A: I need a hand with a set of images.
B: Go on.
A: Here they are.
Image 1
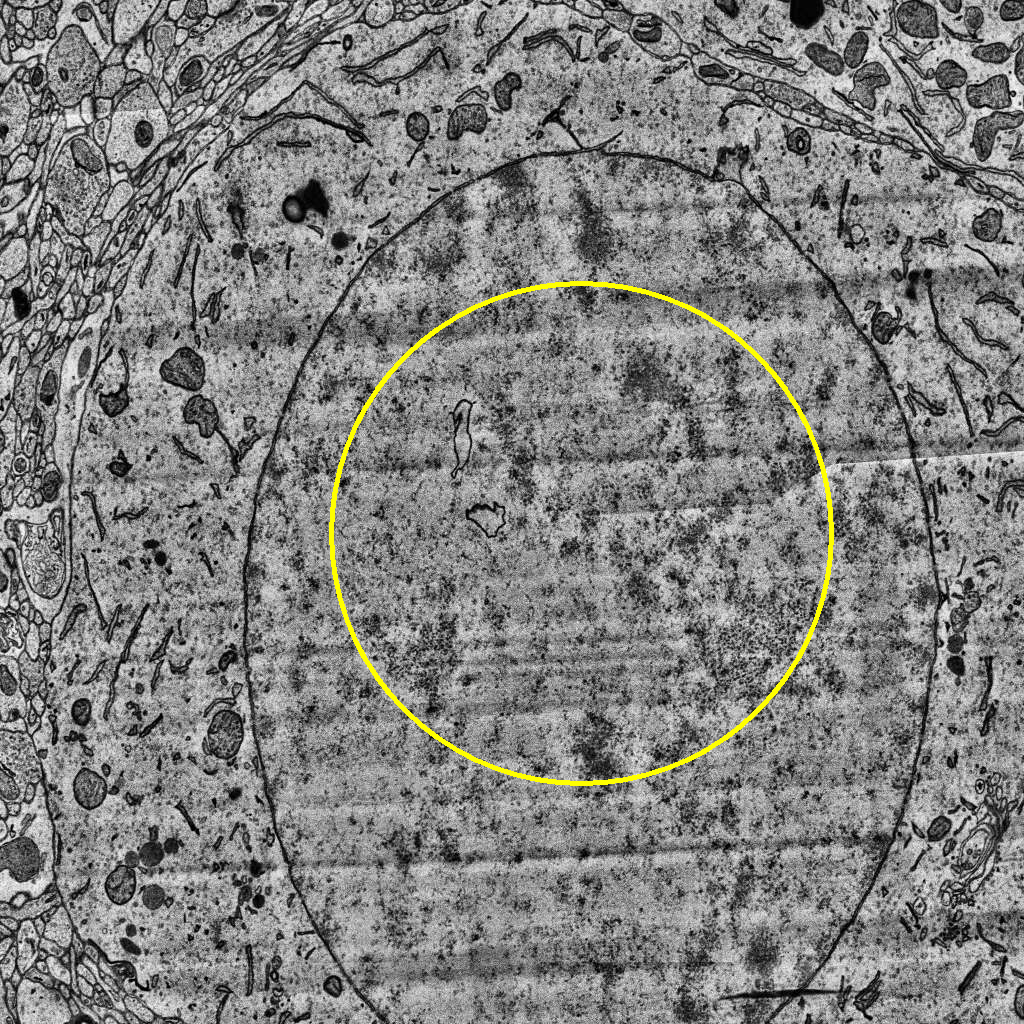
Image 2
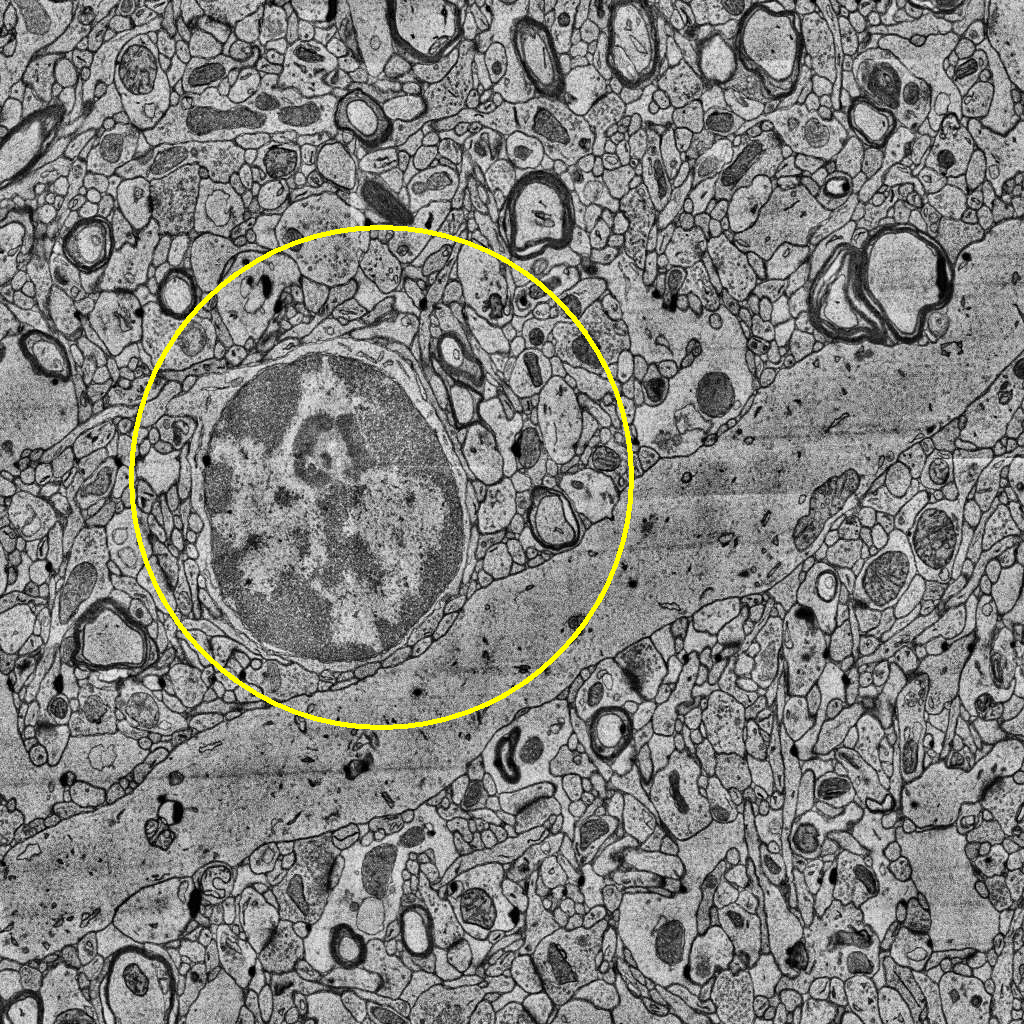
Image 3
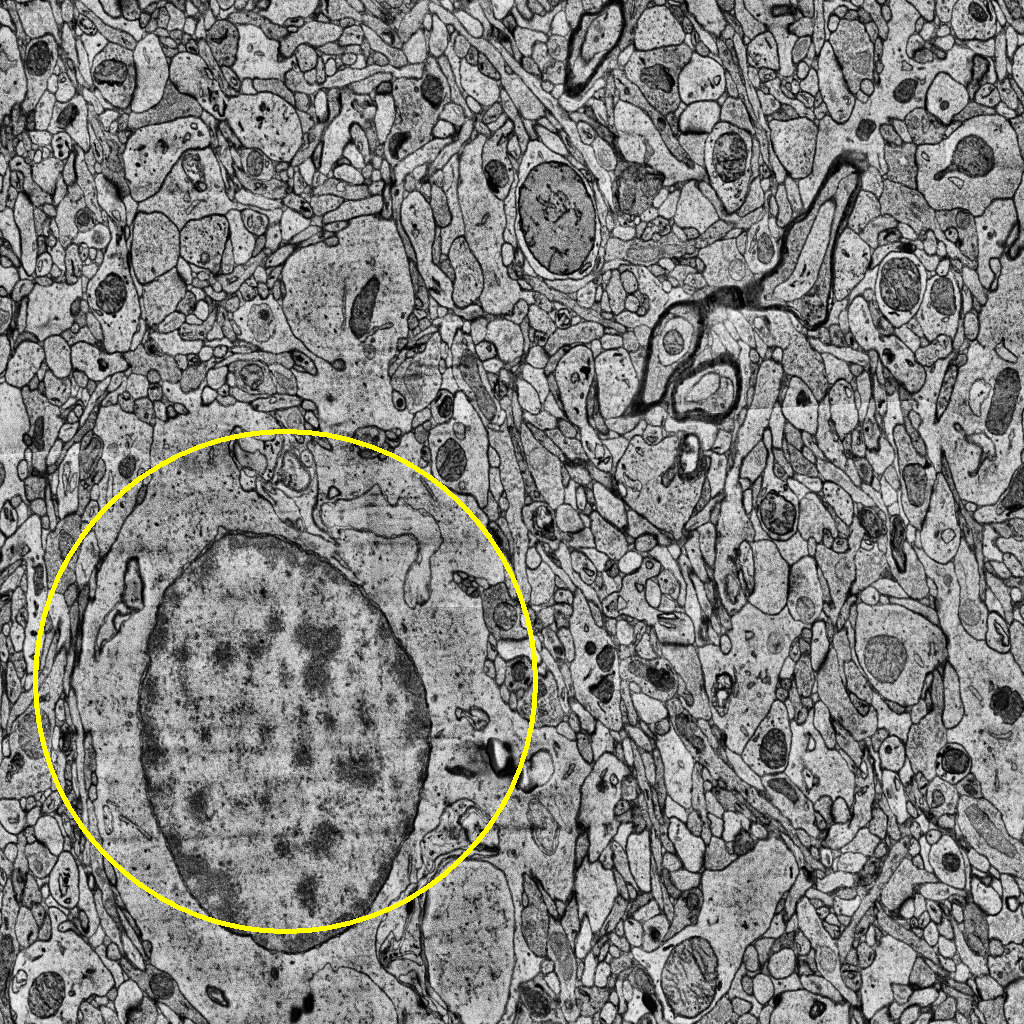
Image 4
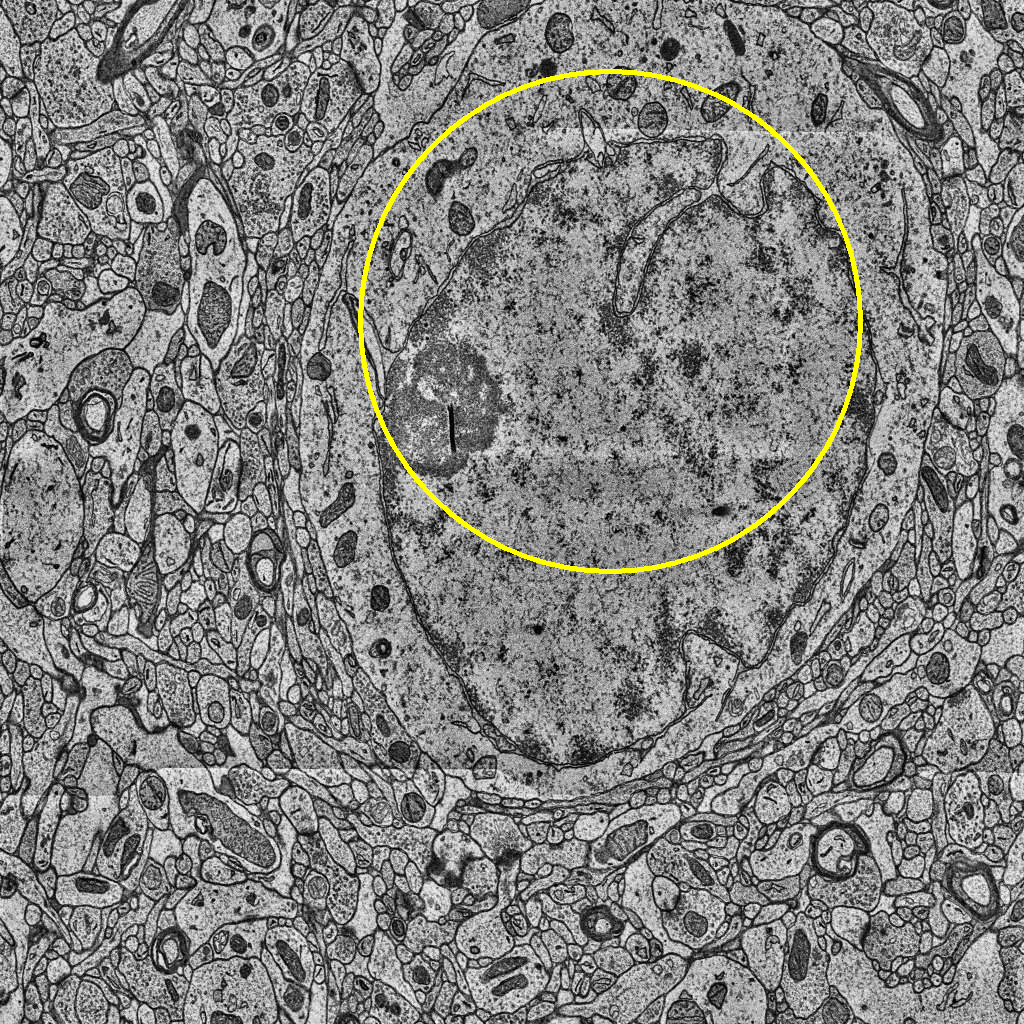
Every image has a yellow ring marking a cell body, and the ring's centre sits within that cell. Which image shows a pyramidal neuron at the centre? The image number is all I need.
1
